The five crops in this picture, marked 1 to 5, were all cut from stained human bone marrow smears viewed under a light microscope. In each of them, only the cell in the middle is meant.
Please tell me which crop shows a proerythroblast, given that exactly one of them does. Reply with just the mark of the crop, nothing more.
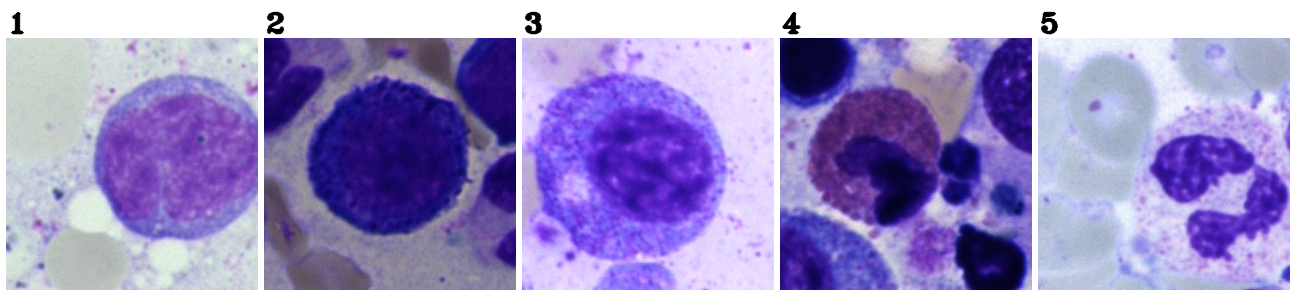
2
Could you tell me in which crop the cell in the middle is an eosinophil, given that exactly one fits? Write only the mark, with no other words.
4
